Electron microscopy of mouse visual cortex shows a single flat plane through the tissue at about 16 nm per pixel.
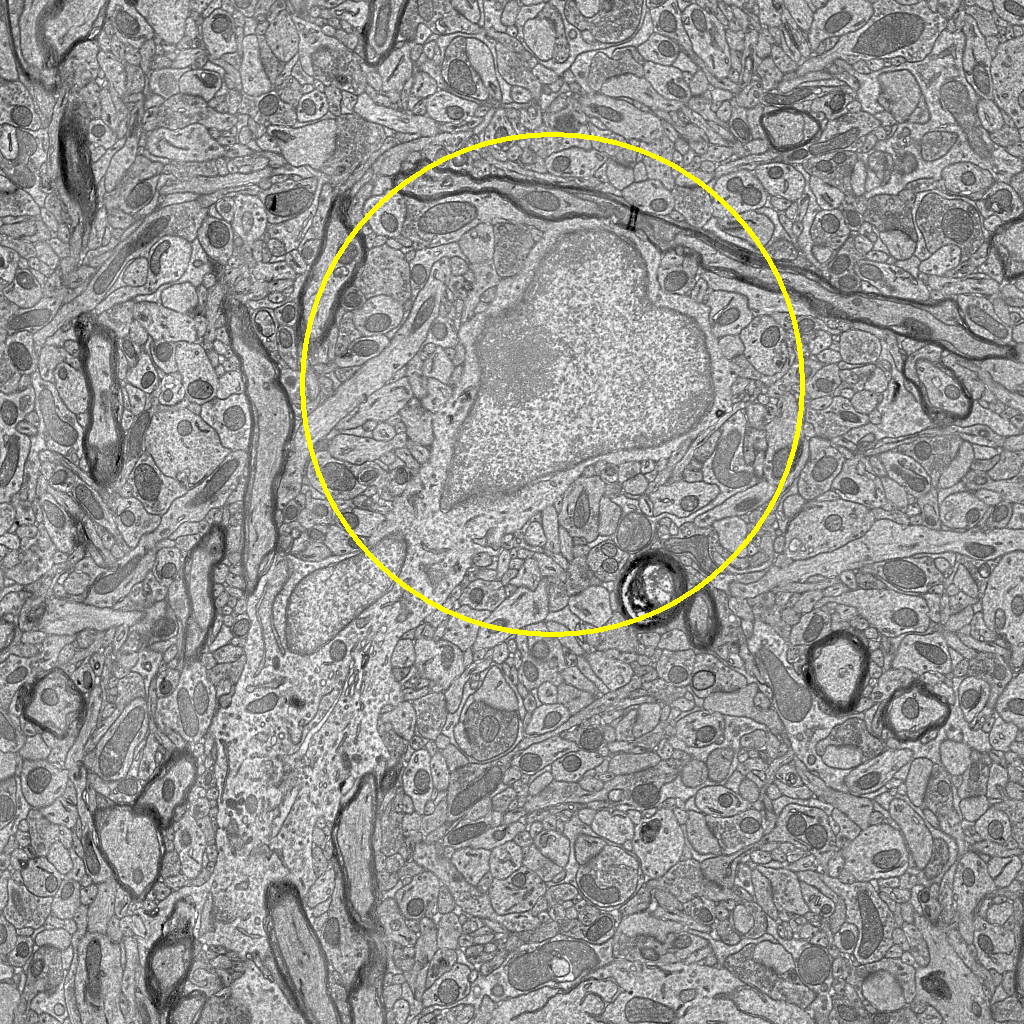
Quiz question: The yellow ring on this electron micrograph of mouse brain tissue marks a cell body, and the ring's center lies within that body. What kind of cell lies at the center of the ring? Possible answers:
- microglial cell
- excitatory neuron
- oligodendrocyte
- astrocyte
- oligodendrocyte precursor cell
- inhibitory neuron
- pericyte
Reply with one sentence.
The ring's center lies on an oligodendrocyte precursor cell.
